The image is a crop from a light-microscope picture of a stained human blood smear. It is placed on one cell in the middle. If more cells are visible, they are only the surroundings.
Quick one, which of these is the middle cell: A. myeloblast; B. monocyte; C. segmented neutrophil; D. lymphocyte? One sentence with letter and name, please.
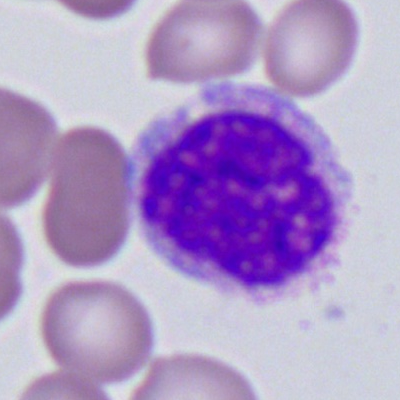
Option B is the keyed answer: the cell in the middle is a monocyte.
